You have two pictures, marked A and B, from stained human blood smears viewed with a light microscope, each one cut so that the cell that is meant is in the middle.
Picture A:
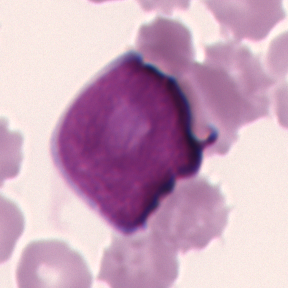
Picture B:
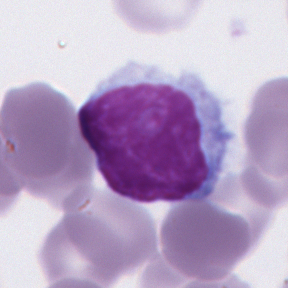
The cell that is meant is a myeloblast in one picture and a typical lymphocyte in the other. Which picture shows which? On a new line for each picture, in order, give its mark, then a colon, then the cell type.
A: myeloblast
B: typical lymphocyte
